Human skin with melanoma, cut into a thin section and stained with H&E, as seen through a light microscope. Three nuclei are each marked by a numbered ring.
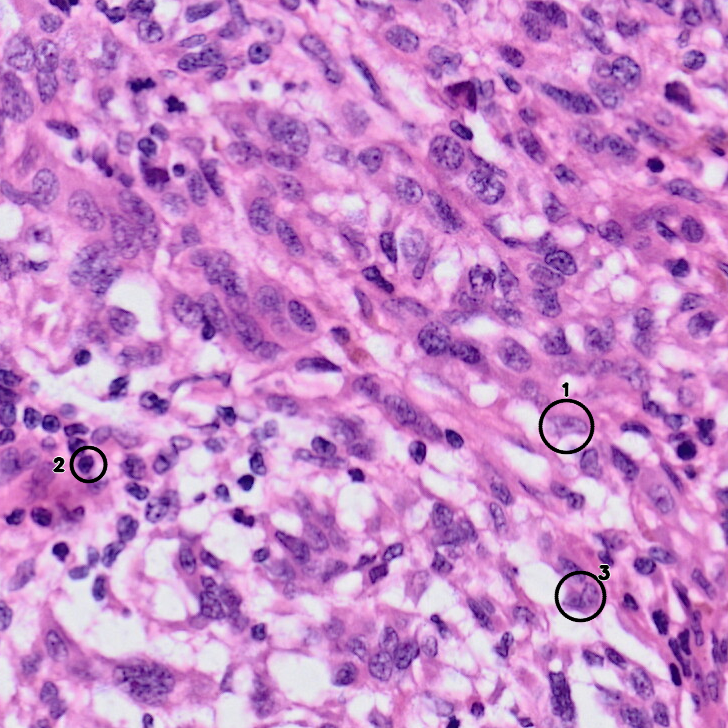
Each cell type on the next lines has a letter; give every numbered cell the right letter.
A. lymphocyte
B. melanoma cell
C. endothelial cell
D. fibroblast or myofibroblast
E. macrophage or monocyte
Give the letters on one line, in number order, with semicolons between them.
B; A; B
